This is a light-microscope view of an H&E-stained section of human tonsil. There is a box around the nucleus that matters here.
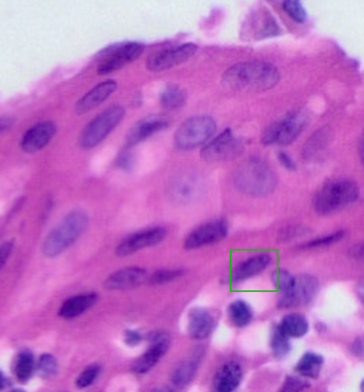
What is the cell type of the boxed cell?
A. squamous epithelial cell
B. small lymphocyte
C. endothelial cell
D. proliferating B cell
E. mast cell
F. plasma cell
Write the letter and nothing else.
A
